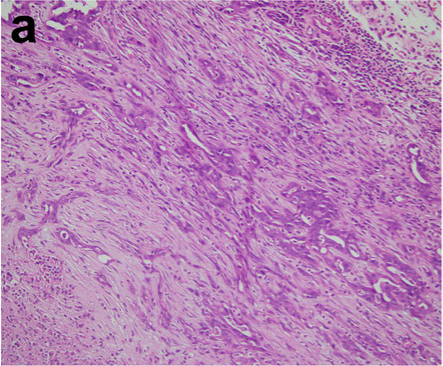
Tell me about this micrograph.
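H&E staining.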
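The tumour cells are crowded and disorderly in their arrangement. A denser band of small dark cells lies along the upper right edge of the section.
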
